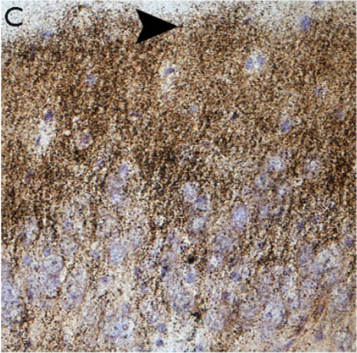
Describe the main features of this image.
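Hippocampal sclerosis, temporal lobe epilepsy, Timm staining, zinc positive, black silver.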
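Dentate gyrus in which a dense band of fine dark brown to black granules fills the molecular layer at the top of the field. The granules continue down among the pale cell bodies with blue nuclei of the granule cell layer, which are partly obscured by the deposit.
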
